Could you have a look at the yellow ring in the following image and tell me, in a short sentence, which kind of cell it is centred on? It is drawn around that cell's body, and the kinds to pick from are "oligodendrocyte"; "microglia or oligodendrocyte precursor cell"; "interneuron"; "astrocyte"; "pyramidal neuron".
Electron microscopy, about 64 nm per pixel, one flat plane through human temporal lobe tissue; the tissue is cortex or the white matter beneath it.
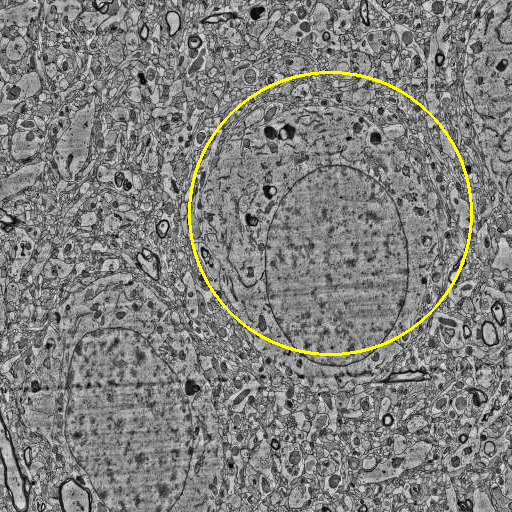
The ring is centred on the body of a pyramidal neuron.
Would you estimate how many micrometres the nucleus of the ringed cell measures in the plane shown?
In this plane, the nucleus is roughly 13 by 9 micrometres.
